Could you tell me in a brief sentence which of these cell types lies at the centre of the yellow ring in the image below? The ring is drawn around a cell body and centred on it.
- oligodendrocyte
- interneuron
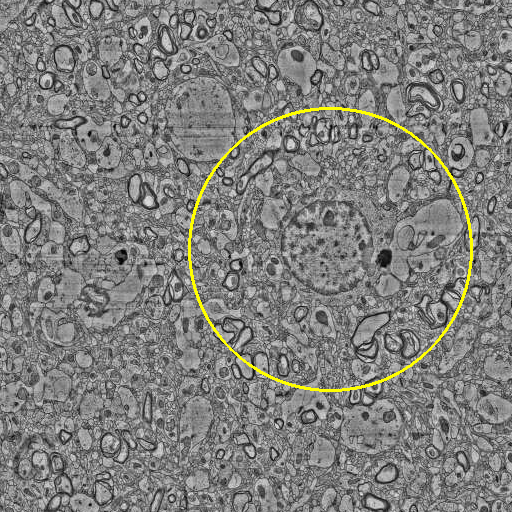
The cell centred in the ring is an oligodendrocyte.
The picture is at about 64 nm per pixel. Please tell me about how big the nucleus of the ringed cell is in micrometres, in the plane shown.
Roughly 6 micrometres across for the nucleus, in this plane.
